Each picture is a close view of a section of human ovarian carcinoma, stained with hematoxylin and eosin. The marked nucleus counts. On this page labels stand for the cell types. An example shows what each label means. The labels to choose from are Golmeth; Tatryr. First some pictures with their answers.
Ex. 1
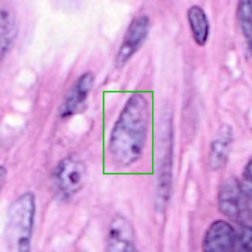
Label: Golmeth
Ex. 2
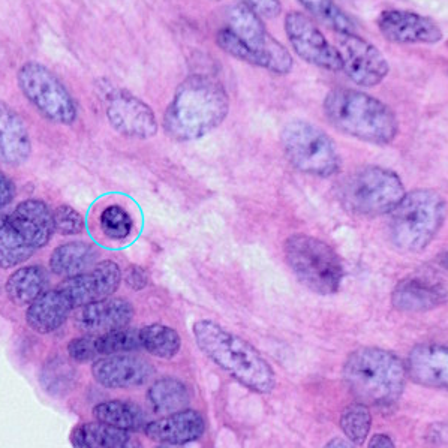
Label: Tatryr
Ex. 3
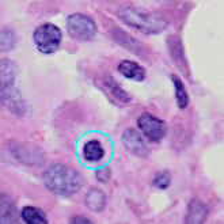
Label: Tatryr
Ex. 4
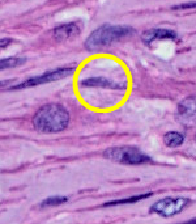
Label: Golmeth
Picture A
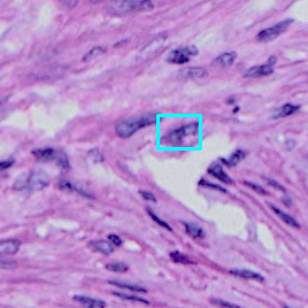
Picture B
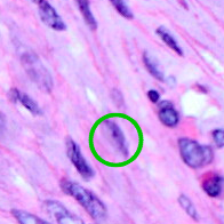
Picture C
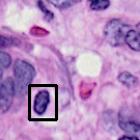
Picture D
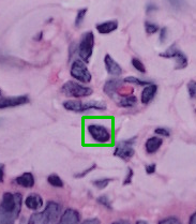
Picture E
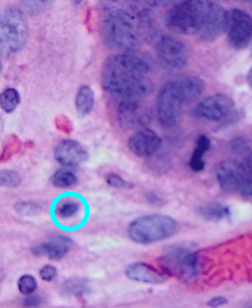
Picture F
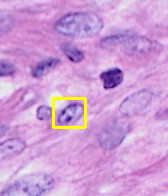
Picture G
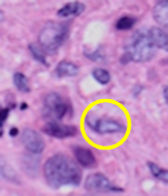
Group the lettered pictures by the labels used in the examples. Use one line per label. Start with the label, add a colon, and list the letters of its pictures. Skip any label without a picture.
Golmeth: A, B, F, G
Tatryr: C, D, E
